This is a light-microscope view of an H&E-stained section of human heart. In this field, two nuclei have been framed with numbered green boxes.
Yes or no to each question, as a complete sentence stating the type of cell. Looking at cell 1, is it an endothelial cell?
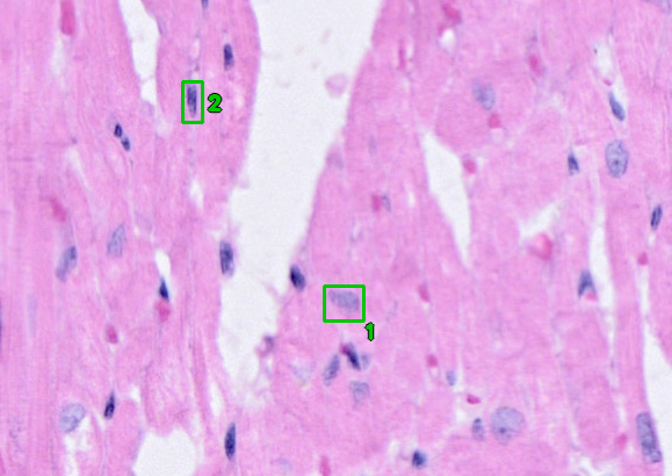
No, the cell carrying number 1 is a cardiomyocyte, not an endothelial cell.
